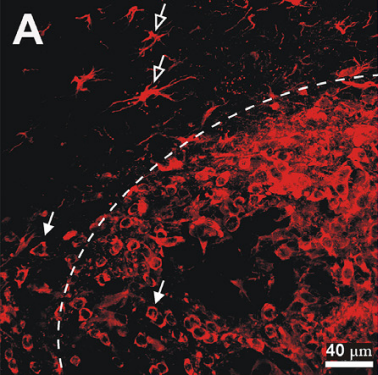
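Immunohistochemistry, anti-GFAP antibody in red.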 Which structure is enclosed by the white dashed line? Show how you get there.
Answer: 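Inside the dashed line red cells are crowded into a dense mass. Outside the line cells are sparse and branched. On this evidence: border of tumor.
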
